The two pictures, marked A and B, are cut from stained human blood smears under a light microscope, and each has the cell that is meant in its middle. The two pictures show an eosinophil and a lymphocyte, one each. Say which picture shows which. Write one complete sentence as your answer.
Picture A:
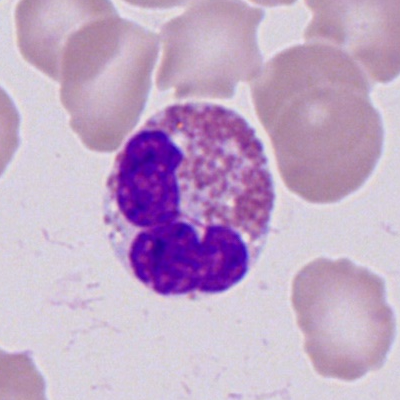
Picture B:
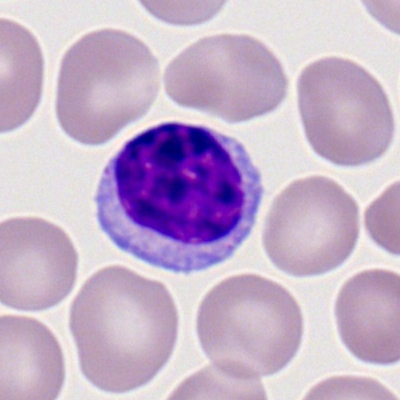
Picture B shows a lymphocyte, while picture A shows an eosinophil.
